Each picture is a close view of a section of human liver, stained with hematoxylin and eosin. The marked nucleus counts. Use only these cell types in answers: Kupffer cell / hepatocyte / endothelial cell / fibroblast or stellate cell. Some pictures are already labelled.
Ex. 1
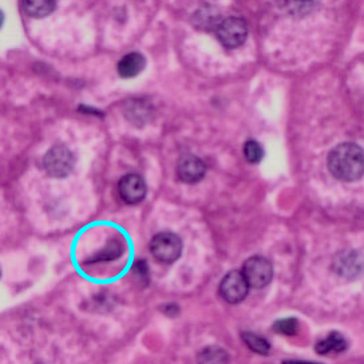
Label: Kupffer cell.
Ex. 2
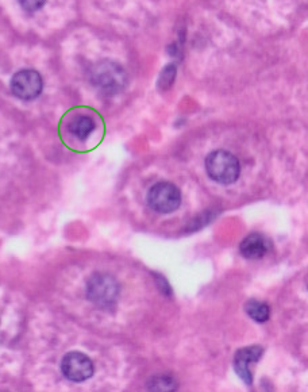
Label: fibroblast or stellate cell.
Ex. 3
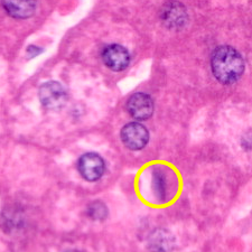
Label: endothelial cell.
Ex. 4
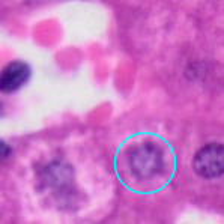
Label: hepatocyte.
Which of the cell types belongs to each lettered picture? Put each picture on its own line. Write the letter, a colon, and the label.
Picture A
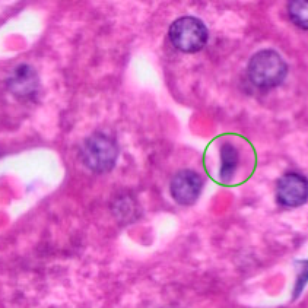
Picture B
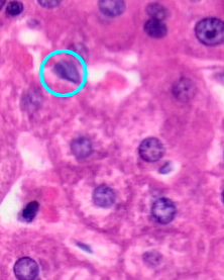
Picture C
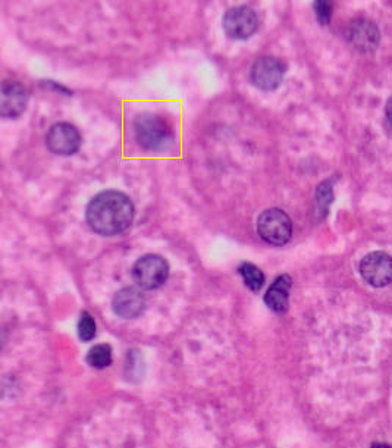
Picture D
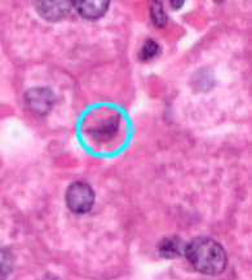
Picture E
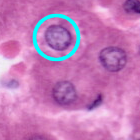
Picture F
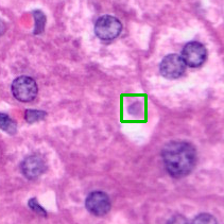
A: Kupffer cell.
B: endothelial cell.
C: endothelial cell.
D: endothelial cell.
E: hepatocyte.
F: Kupffer cell.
